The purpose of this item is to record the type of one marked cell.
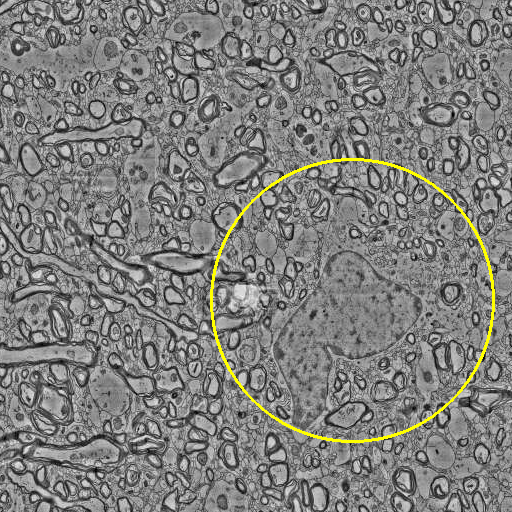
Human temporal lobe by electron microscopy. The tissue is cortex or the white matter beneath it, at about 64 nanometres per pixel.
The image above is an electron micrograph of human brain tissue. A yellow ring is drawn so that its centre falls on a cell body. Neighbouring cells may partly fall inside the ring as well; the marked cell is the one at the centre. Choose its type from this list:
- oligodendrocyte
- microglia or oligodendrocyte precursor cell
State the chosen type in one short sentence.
What the ring marks here is a microglial cell or oligodendrocyte precursor cell.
